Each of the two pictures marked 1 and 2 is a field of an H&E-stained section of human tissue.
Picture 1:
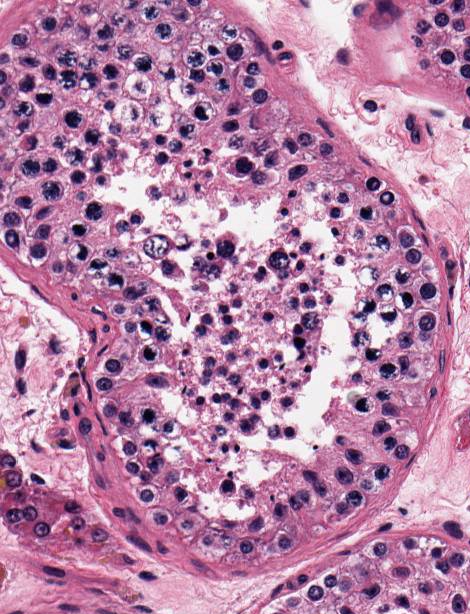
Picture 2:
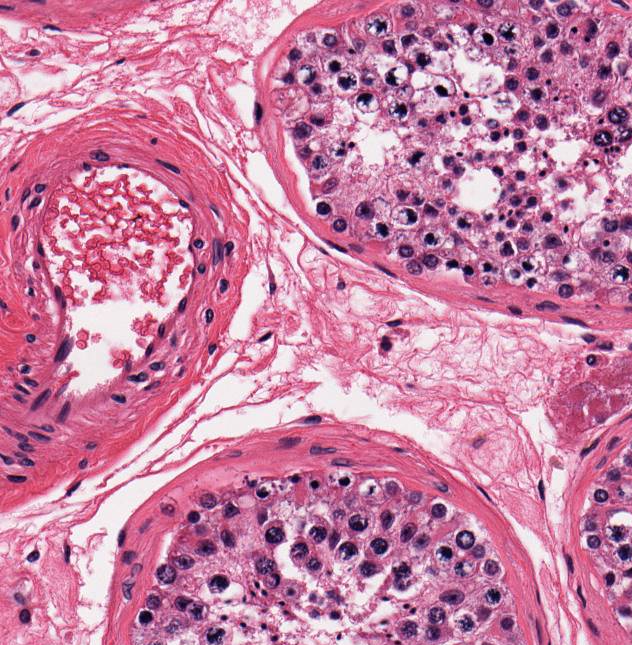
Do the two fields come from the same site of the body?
yes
